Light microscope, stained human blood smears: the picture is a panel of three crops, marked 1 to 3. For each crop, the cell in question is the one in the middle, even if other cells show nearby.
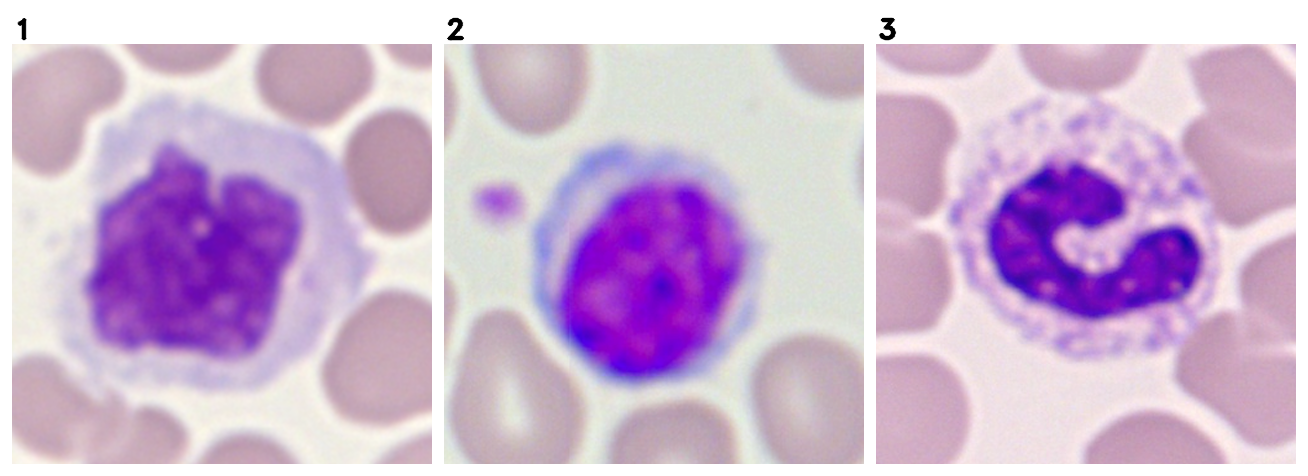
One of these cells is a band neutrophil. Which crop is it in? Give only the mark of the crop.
3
